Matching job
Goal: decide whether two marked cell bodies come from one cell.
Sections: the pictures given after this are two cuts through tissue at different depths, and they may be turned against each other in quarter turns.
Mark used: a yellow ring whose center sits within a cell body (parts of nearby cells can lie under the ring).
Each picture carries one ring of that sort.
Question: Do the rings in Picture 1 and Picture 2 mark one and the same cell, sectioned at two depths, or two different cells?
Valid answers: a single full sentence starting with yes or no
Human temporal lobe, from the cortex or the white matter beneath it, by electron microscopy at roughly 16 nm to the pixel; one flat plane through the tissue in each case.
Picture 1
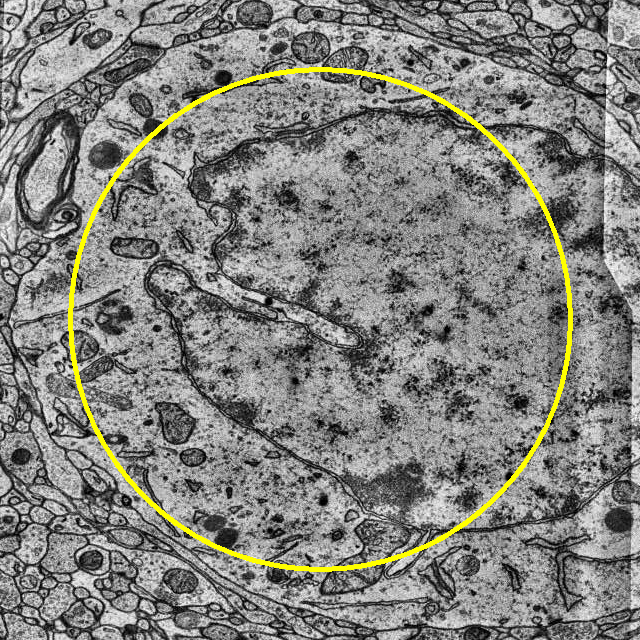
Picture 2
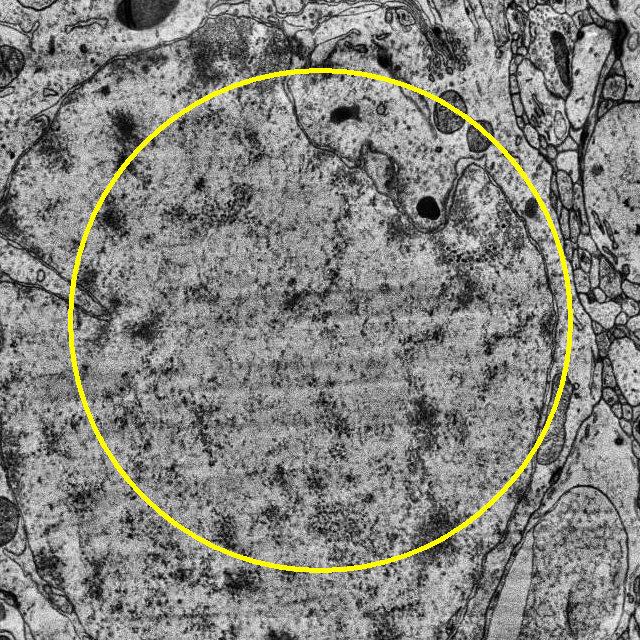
No, the rings do not mark the same cell.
